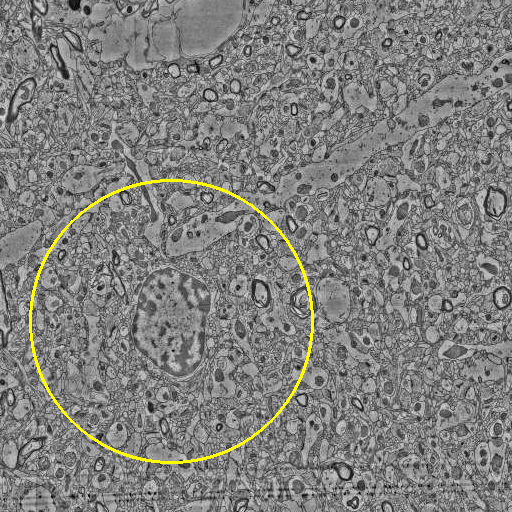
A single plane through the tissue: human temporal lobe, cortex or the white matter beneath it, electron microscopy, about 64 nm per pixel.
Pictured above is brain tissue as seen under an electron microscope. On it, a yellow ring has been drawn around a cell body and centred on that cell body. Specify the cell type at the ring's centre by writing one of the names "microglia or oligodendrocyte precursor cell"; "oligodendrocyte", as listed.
microglia or oligodendrocyte precursor cell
